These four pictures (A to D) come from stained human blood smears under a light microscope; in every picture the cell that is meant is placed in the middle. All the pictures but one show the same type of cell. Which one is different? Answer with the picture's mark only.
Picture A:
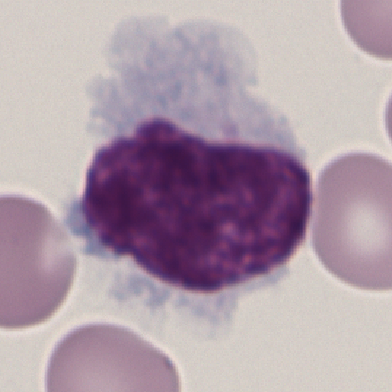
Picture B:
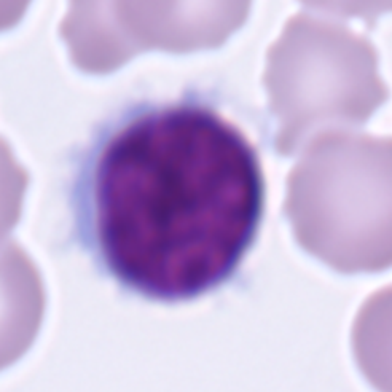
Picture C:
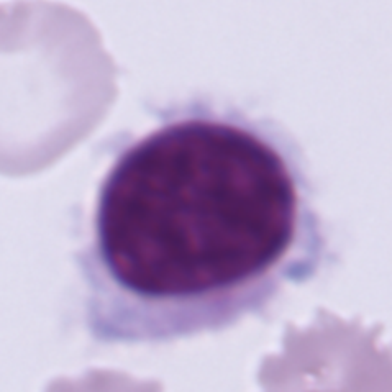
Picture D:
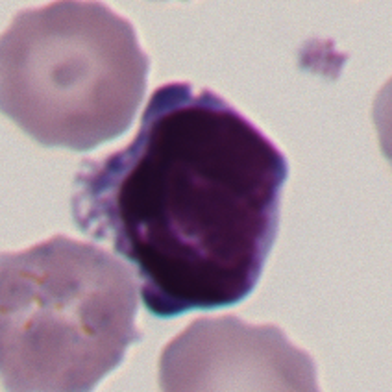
D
